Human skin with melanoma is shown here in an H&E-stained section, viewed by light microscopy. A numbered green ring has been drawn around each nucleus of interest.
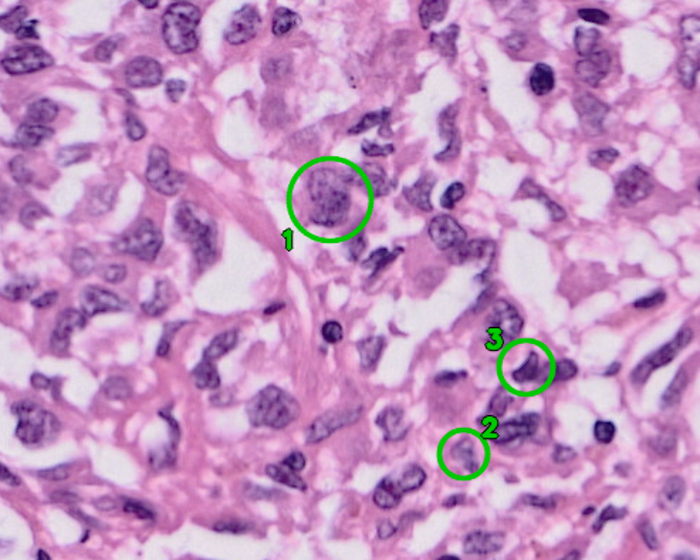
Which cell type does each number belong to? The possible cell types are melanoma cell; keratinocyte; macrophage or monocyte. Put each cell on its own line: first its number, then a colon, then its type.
1: melanoma cell
2: macrophage or monocyte
3: melanoma cell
